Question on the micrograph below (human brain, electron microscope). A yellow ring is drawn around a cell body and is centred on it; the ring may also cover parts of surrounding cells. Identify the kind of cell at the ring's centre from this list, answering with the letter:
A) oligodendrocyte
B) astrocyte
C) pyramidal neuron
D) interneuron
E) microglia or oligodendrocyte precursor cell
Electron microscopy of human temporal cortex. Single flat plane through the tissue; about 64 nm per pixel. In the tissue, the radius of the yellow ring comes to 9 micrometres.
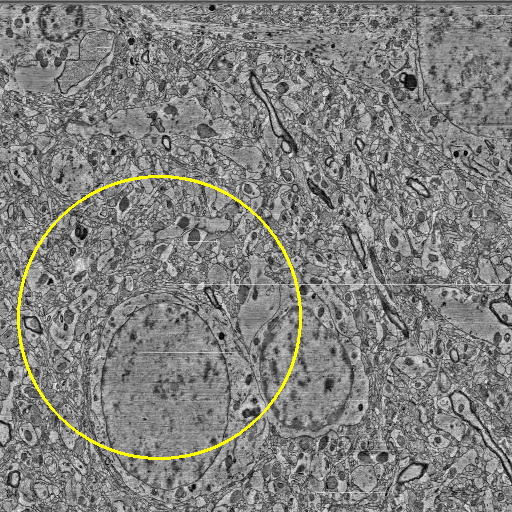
C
